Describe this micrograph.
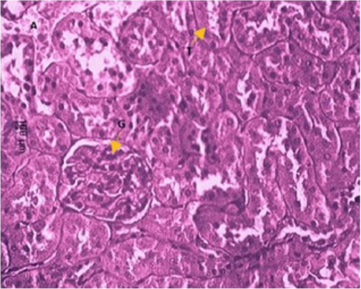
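This section of kidney shows a glomerulus in the lower left surrounded by cross-sectioned renal tubules. The glomerulus is a rounded tuft of capillary loops with scattered small dark nuclei, lying within a capsule and separated from it by a narrow clear space. The surrounding tubules are lined by cuboidal epithelial cells with pink-purple cytoplasm and round nuclei, their lumens appearing as pale, irregular spaces. The tubules are closely packed with little tissue between them.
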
